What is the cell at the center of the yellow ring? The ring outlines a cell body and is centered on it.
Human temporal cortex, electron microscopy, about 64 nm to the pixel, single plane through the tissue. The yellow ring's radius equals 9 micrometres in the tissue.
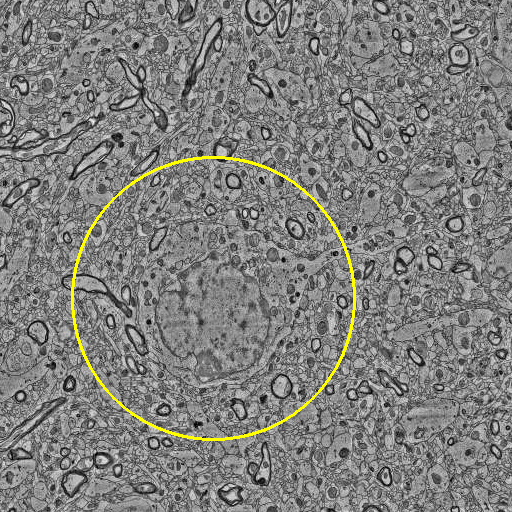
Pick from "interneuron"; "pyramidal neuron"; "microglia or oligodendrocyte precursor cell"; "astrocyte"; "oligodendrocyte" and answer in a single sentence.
The yellow ring is centered on an interneuron.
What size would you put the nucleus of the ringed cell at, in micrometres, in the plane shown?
Approximately 8 micrometers across in this plane.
